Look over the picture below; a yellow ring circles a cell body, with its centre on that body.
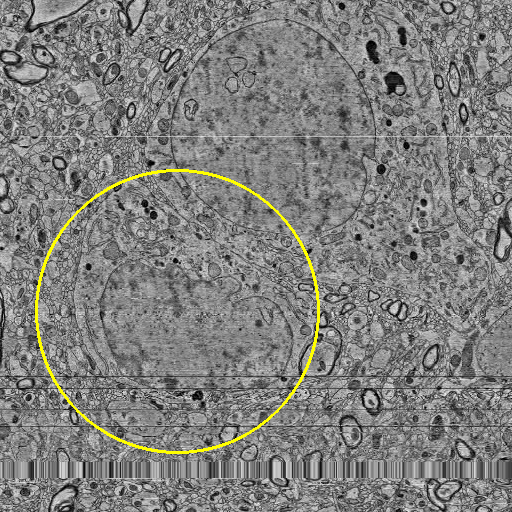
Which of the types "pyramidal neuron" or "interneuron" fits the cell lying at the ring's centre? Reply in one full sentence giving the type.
The picture shows an interneuron at the centre of the yellow ring.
